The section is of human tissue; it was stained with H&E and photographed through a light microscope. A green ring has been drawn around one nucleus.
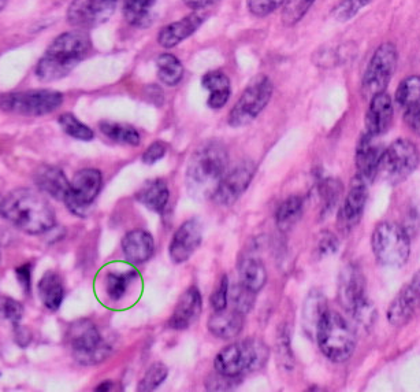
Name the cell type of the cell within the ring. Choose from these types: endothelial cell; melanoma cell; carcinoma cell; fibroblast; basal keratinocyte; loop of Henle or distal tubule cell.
melanoma cell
